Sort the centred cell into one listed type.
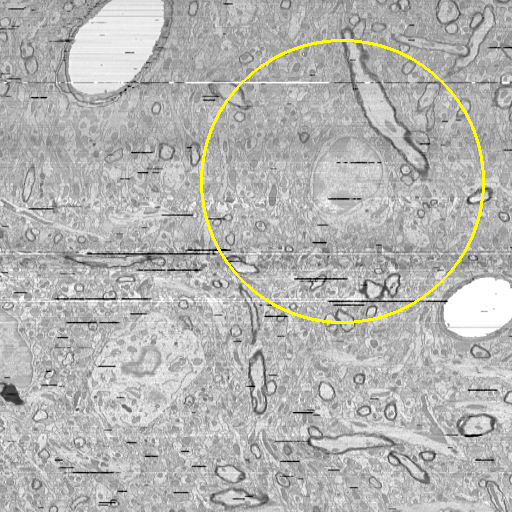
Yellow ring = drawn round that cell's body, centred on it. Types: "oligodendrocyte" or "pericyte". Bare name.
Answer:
oligodendrocyte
